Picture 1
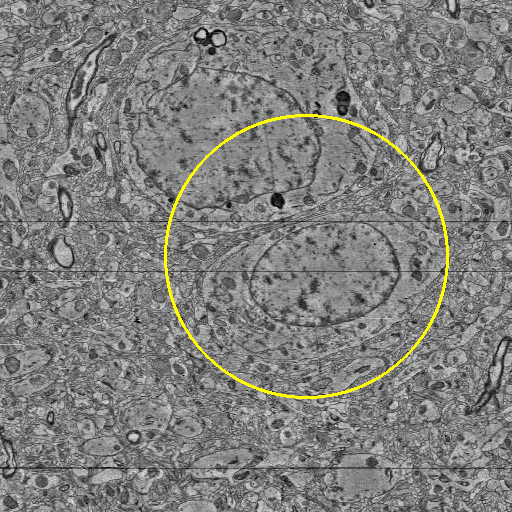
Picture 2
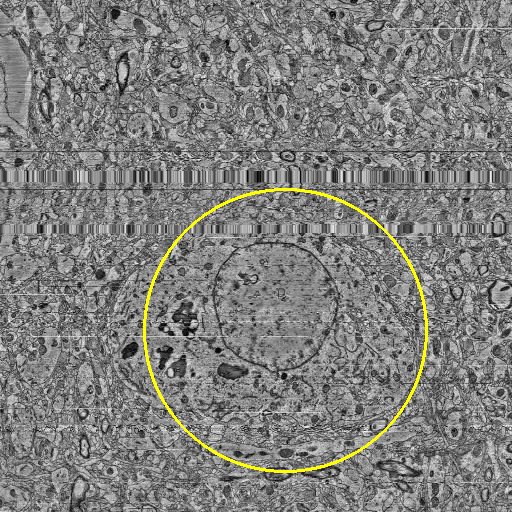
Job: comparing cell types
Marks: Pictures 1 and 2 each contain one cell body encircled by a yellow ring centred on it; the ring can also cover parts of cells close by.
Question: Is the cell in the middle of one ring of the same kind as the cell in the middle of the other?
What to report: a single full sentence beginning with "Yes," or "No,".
Yes, the cell at the ring centre in Picture 1 and its partner in Picture 2 are of one kind.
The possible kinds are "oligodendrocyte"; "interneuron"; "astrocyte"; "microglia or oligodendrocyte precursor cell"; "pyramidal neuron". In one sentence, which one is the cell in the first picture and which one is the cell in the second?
The first and the second cell are each a pyramidal neuron.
